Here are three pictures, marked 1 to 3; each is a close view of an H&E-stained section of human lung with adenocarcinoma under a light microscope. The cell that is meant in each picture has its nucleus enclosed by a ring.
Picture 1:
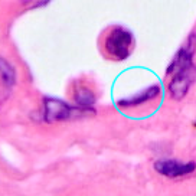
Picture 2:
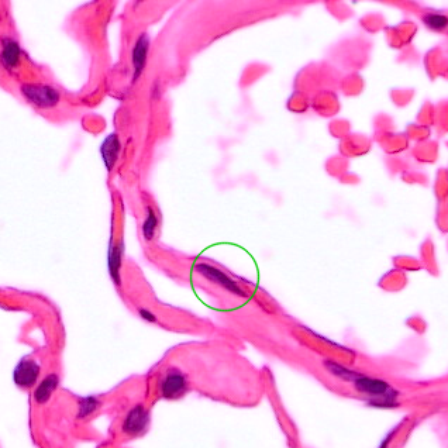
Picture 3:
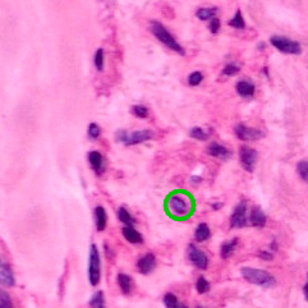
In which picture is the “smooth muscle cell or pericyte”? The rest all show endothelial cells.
3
